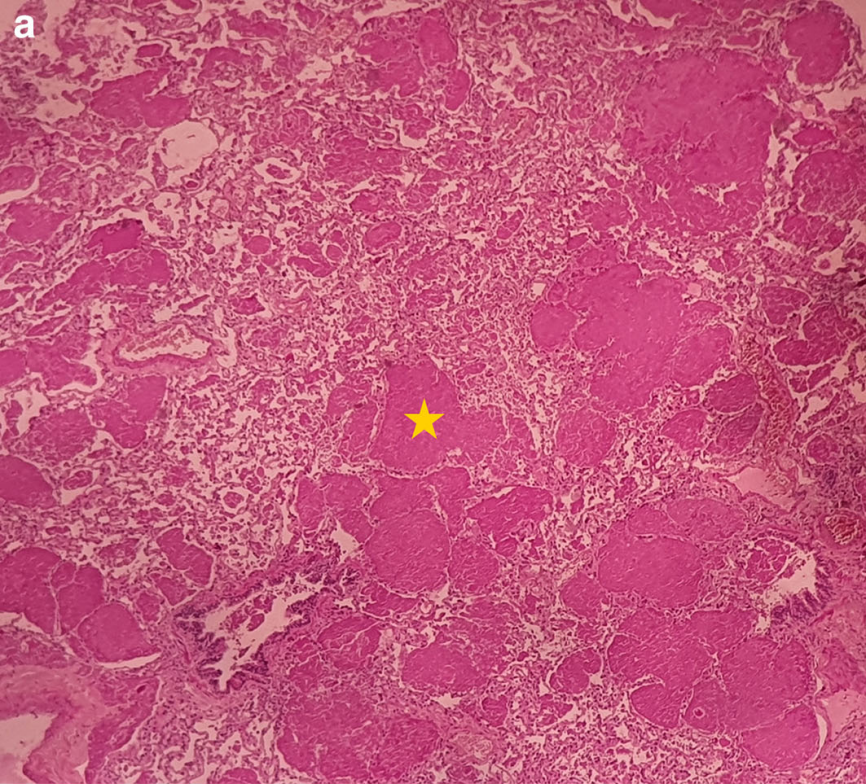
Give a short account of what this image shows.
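This is lung at low power, and instead of open, lacy airspaces the alveoli are filled with rounded, solid-looking pink masses. These masses vary in size and many lie side by side like lobules, each outlined by a thin pale rim where it has shrunk from the wall. Between them run narrow alveolar septa with scattered dark nuclei, and some airspaces remain partly open. Toward the lower left a small bronchiole with a darker lining and a vessel wall can be seen, and at the right edge a vessel contains red blood cells. The architecture of the alveolar walls is preserved while the spaces are filled.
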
